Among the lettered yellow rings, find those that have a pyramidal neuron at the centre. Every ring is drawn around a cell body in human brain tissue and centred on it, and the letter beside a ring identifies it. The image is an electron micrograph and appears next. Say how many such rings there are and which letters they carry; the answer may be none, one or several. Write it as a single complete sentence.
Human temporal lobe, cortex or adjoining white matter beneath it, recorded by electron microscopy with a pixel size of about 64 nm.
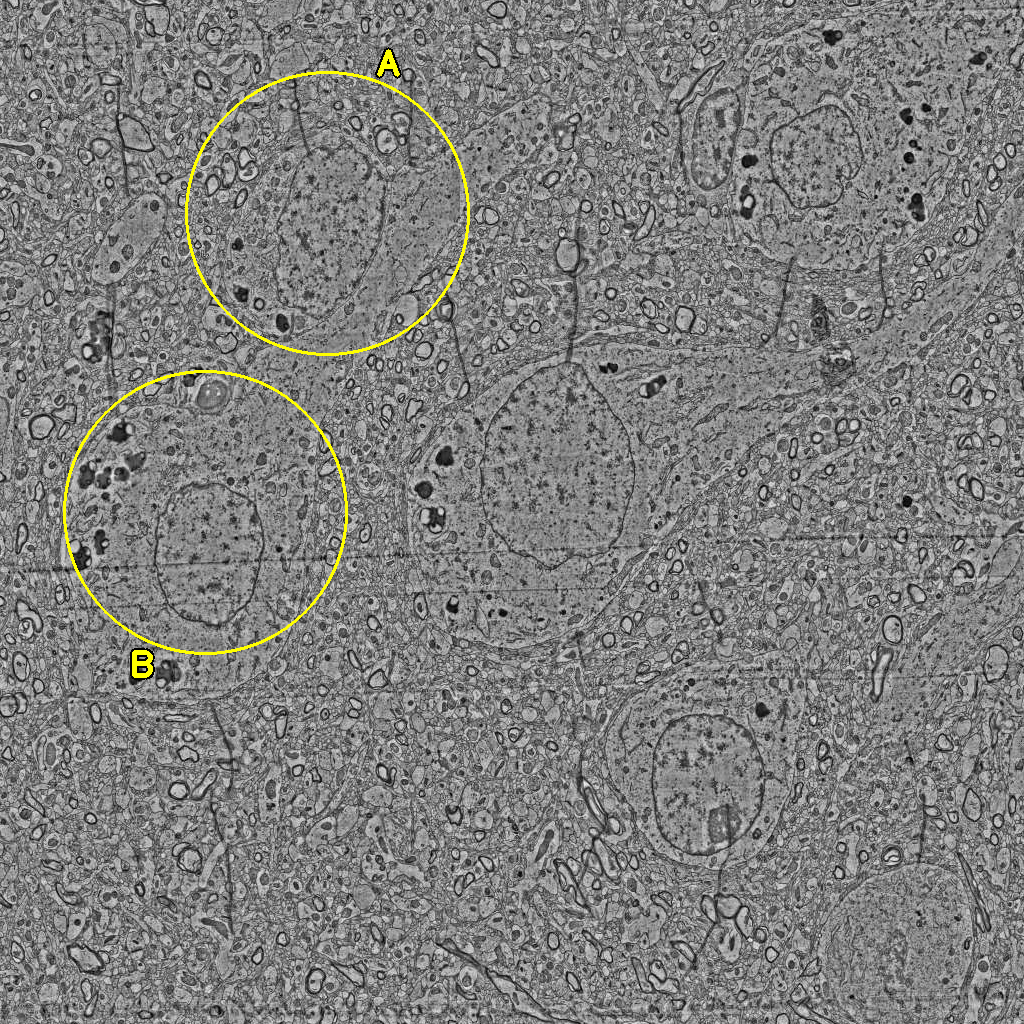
The ring beside the letter B is the single ring centred on a pyramidal neuron.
